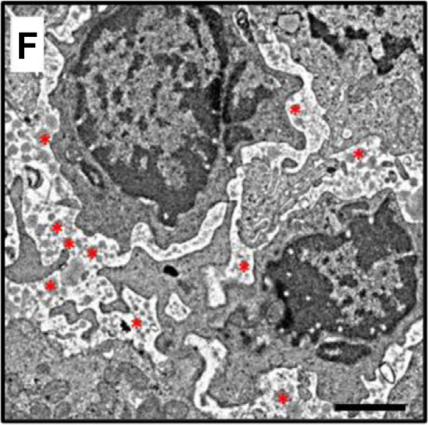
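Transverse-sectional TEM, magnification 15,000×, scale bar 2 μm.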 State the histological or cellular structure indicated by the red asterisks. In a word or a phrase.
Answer: Secreted chylomicrons.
